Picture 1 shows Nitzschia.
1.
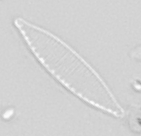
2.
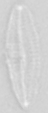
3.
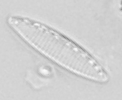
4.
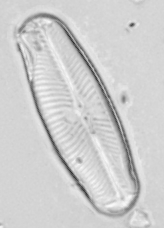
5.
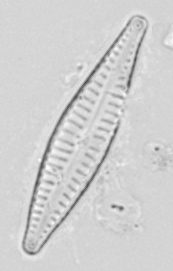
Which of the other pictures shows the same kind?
Picture 3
